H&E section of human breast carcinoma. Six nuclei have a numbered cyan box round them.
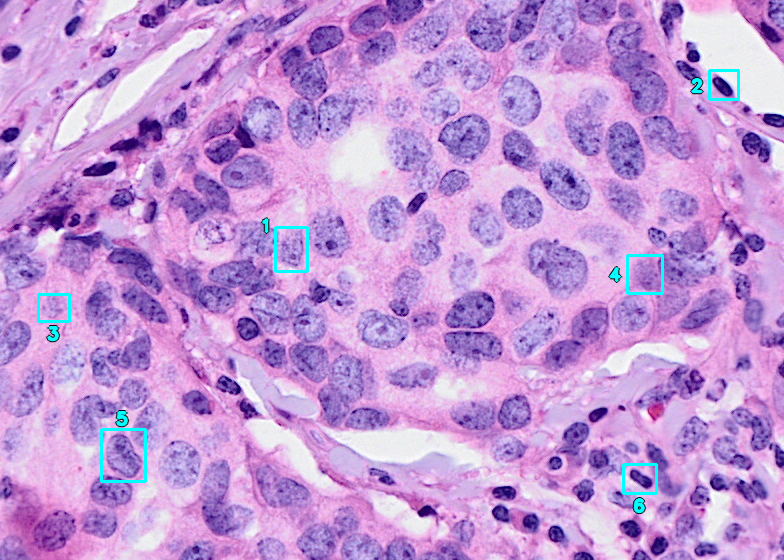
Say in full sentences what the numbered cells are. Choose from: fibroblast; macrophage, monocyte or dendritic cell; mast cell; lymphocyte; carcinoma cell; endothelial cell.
Cell 1 is a carcinoma cell, cell 2 is a lymphocyte, cell 3 is a carcinoma cell, cell 4 is a carcinoma cell, cell 5 is a carcinoma cell and cell 6 is a lymphocyte.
